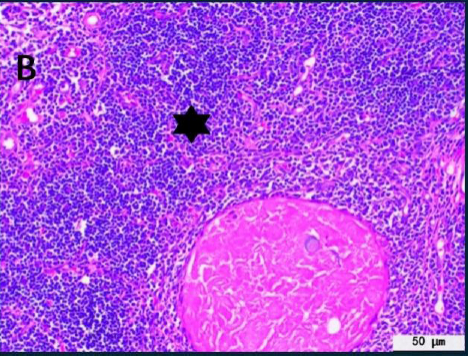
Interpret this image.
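This section shows granulation tissue made up of a dense sheet of small cells with dark purple, round nuclei and scant cytoplasm. Small vessel-like spaces with pink walls are scattered among the cells. Toward the lower right lies a large, rounded, sharply bounded pink mass with a fibrillar texture, around which the cells are crowded closely.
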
